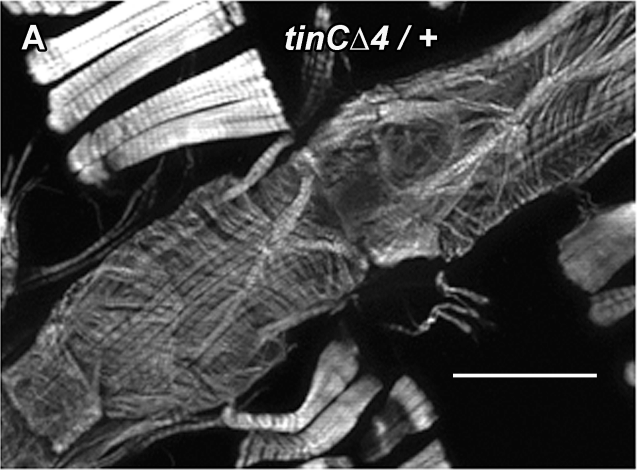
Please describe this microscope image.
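A tube of fine, faintly striated fibres runs diagonally across the field, flanked by much broader, boldly banded muscle fibres at the corners. Within the tube the thin fibres mostly wrap crosswise around it, forming a continuous, closely woven wall without holes. This is the heart tube with its myofibrils arranged circumferentially around the lumen.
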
